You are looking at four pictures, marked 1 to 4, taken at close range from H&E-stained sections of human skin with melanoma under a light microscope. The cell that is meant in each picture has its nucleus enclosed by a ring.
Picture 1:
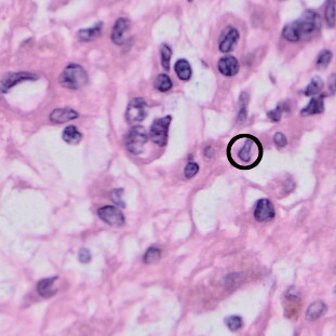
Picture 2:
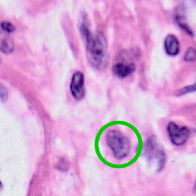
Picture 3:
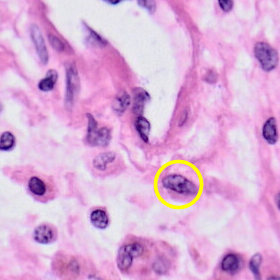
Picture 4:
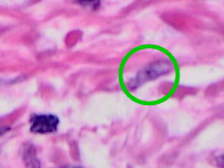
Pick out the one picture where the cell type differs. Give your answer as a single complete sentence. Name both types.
Unlike the rest, which show “macrophages or monocytes”, picture 4 shows a “fibroblast or myofibroblast”.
